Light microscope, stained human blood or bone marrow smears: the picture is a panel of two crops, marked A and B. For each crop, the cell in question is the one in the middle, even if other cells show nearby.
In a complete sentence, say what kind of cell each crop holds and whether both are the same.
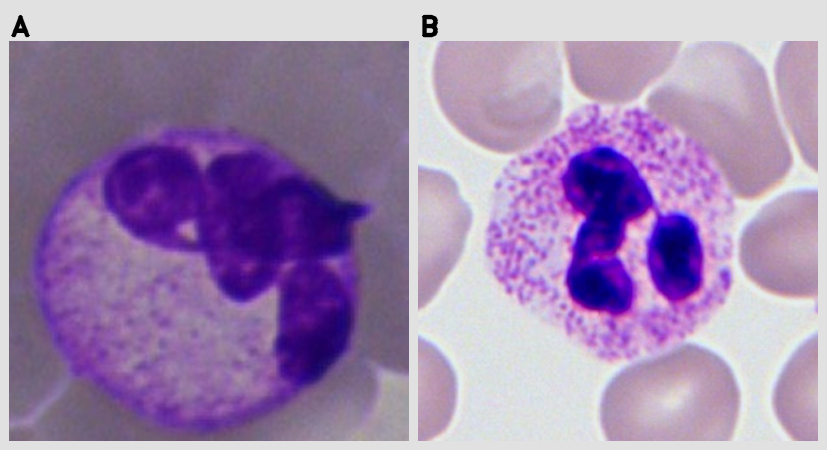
Yes, both crops show a cell each, and these are segmented neutrophils.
